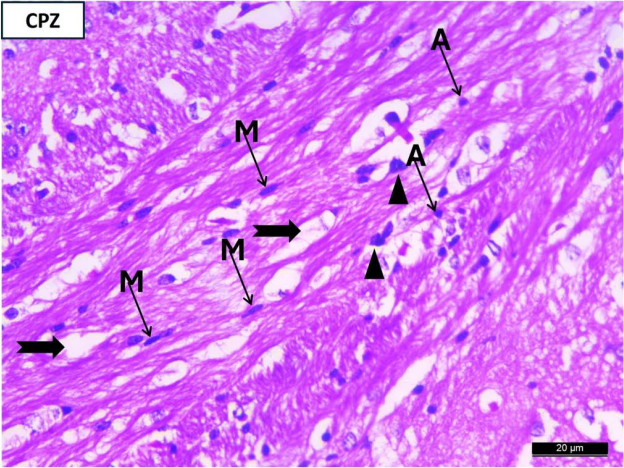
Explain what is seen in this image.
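The pink fiber bundles are interrupted by many rounded and elongated clear vacuoles of varied size. Dark, irregular nuclei lie beside the vacuoles rather than in orderly rows. Small, dense, elongated nuclei are scattered among the fibers, and a few larger nuclei lie near the disrupted area. Some vacuoles contain pale debris or red material.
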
